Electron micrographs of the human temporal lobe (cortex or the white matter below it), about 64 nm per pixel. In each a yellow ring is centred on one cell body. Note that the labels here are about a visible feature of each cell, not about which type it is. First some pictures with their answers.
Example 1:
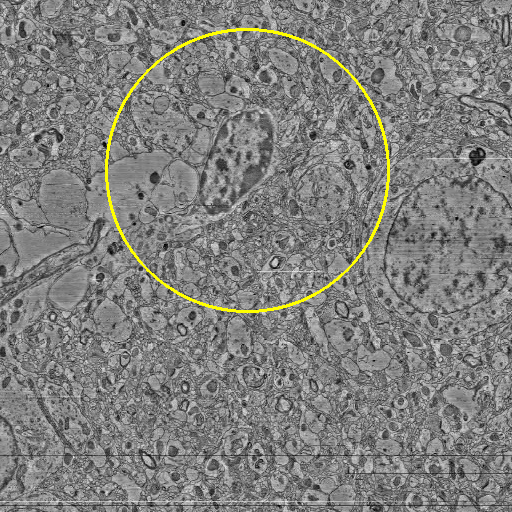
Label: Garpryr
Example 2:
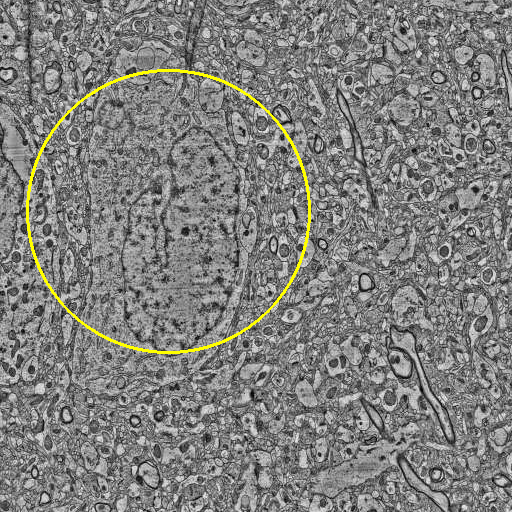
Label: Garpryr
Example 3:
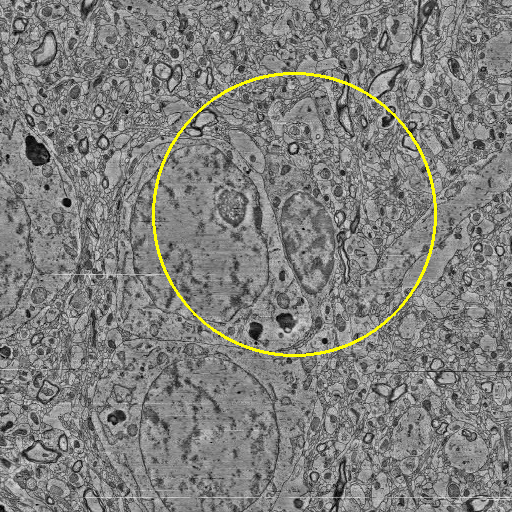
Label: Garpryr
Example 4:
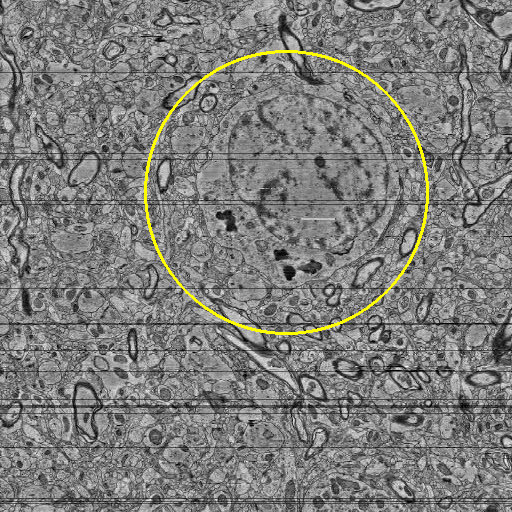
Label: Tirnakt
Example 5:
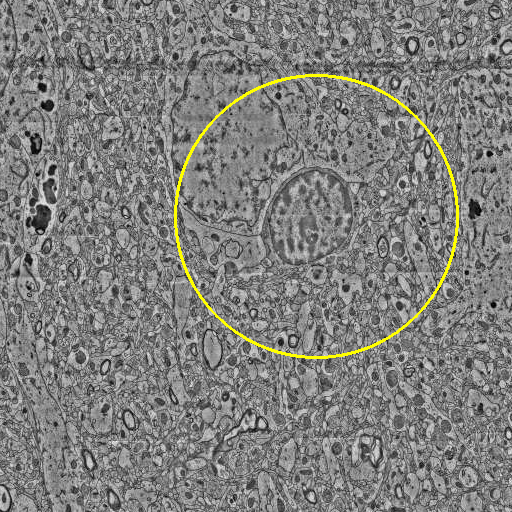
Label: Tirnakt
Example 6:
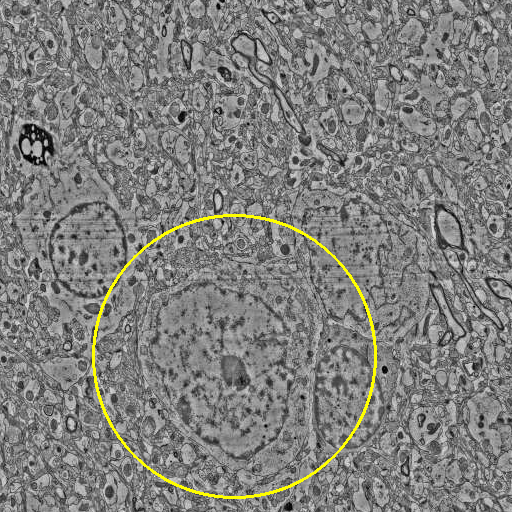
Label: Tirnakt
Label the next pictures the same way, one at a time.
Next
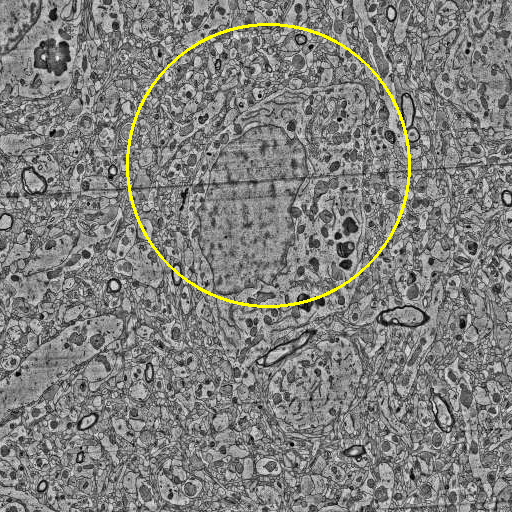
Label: Garpryr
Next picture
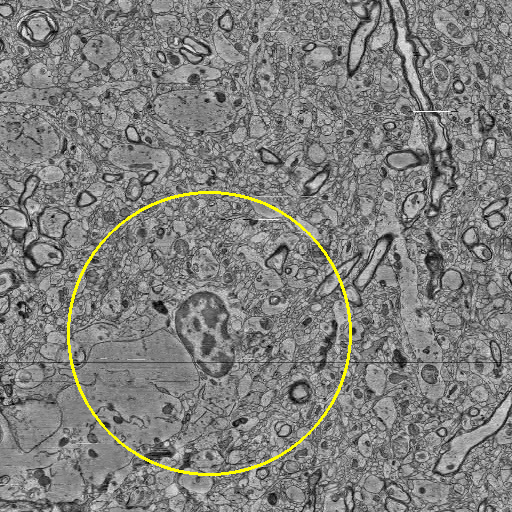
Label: Garpryr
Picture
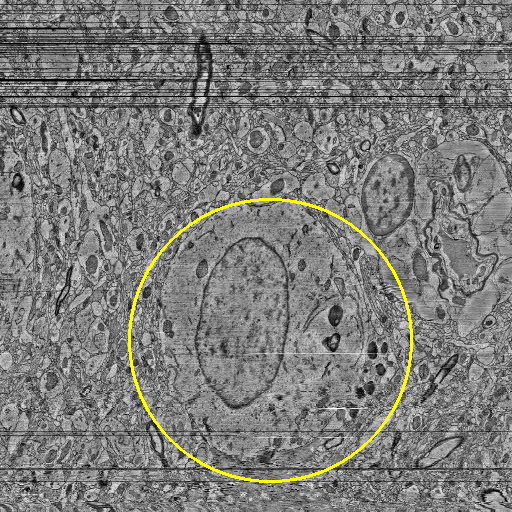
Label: Garpryr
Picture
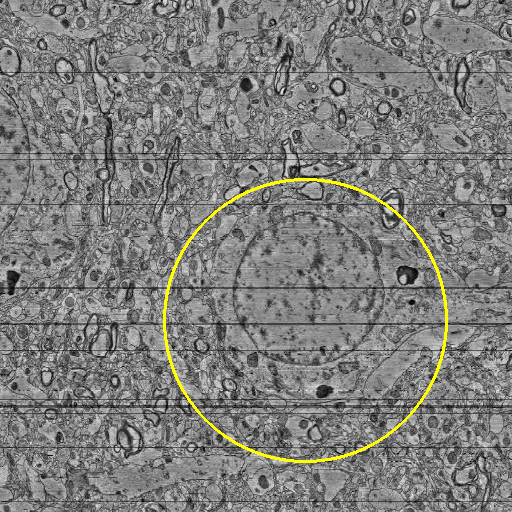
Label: Tirnakt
